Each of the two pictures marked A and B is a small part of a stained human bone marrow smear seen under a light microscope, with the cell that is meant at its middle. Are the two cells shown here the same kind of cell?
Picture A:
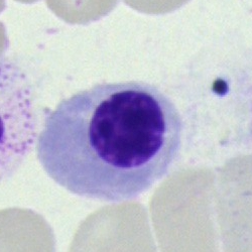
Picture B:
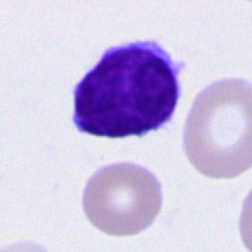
no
